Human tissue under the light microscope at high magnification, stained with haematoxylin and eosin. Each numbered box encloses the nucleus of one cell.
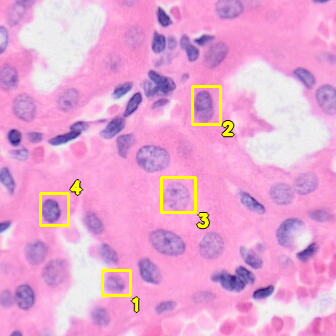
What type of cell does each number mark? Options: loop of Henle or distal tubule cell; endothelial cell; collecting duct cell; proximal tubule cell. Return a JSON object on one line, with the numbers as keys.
{"1": "loop of Henle or distal tubule cell", "2": "proximal tubule cell", "3": "proximal tubule cell", "4": "loop of Henle or distal tubule cell"}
